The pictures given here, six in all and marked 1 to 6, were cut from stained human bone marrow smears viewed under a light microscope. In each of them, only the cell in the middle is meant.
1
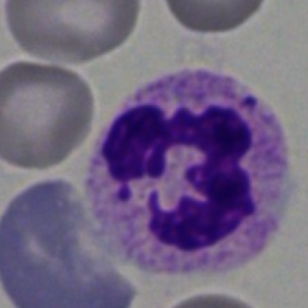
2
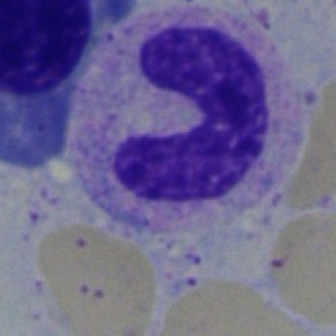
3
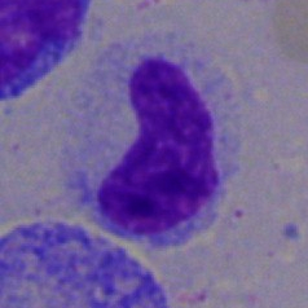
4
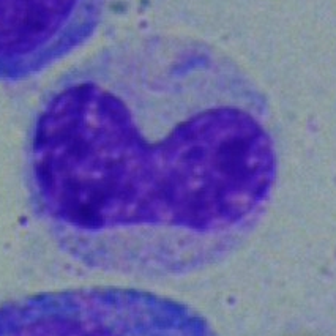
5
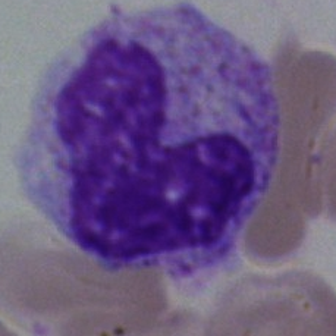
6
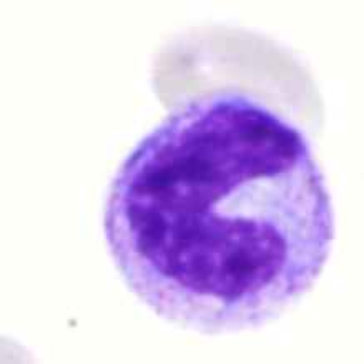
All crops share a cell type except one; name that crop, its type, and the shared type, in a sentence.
Seen in crop 1 is a segmented neutrophil, and seen in all other crops are band neutrophils.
